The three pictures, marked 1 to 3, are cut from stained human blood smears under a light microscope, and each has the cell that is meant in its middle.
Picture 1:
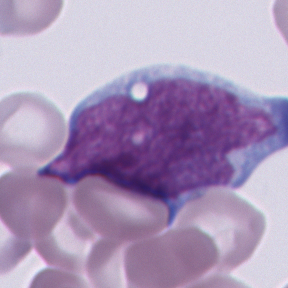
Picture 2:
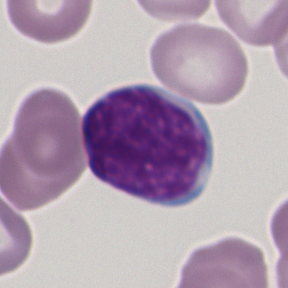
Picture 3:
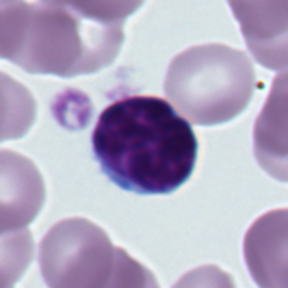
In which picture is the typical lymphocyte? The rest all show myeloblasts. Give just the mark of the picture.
3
